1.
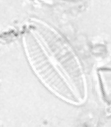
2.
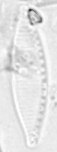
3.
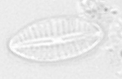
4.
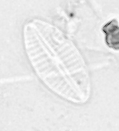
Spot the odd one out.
Picture 2 (Nitzschia among Craticula).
